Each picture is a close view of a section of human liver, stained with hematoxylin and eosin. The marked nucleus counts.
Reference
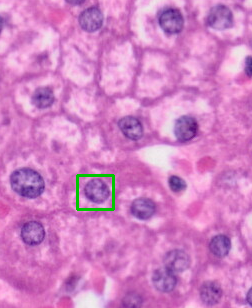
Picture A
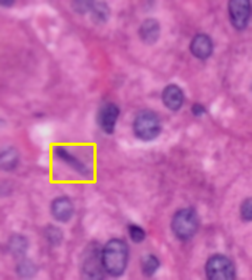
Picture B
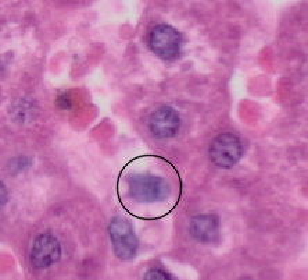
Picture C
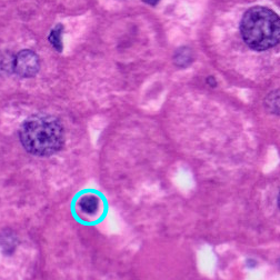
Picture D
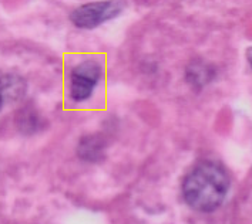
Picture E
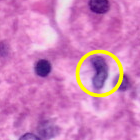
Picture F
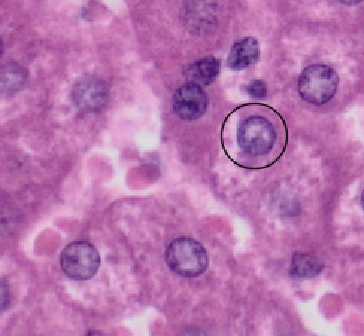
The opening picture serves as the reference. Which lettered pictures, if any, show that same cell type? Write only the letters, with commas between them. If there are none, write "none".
F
